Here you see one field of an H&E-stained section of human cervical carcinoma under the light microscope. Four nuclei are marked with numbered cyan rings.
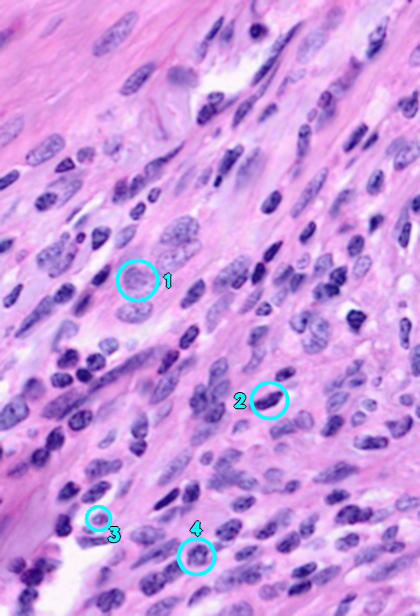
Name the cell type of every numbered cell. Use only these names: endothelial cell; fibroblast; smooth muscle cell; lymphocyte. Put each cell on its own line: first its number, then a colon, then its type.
1: endothelial cell
2: lymphocyte
3: lymphocyte
4: lymphocyte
